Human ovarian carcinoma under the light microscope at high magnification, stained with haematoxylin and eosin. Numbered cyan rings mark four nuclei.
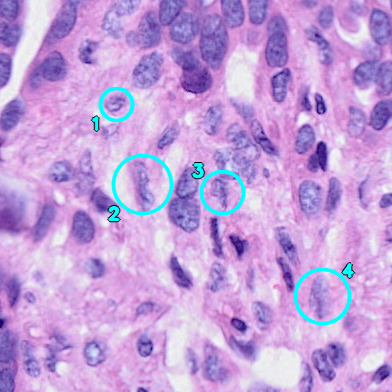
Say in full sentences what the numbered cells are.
Cell 1 is a macrophage or monocyte. Cells 2, 3 and 4 are fibroblasts.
